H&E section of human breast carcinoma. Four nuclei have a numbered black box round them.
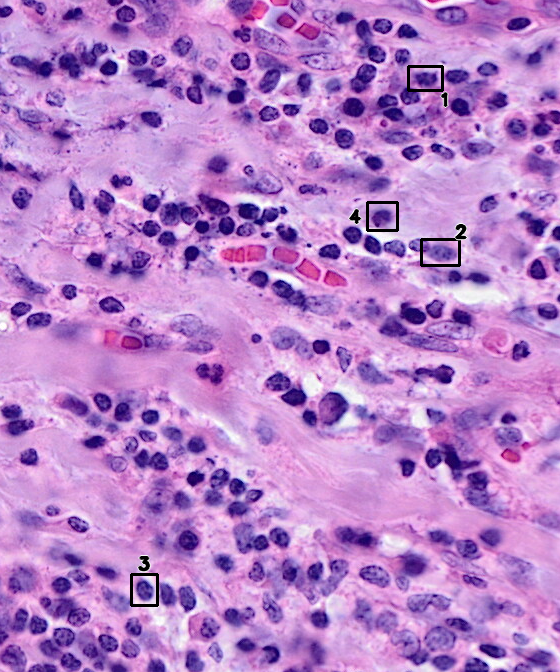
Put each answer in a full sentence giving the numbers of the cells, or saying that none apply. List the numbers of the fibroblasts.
Honestly, none of the numbered cells are fibroblasts.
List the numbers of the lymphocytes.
In terms of cell type, cells 1, 3 and 4 are lymphocytes.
